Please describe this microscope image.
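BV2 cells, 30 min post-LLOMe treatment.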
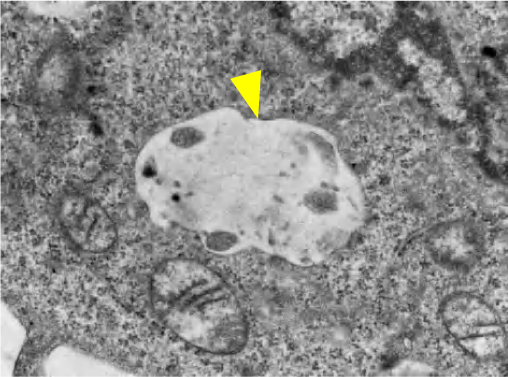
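Transmission electron micrograph of the cytoplasm of a cultured cell, showing a strongly enlarged lysosome marked by an arrowhead. The lysosome appears as a large, irregularly rounded vacuole with pale, electron-lucent content in which a few small dark particles and fine flocculent material are scattered. It is far larger than the neighbouring organelles. Nearby lie mitochondria with cristae and smaller membrane-bound vesicles, set in granular cytoplasm. The contrast between the pale vacuole and the denser surrounding cytoplasm is marked.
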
